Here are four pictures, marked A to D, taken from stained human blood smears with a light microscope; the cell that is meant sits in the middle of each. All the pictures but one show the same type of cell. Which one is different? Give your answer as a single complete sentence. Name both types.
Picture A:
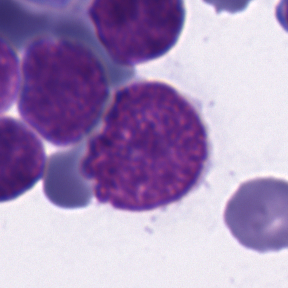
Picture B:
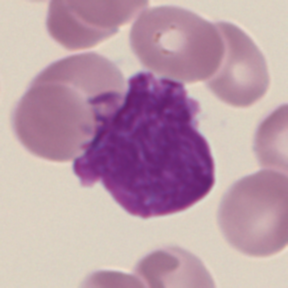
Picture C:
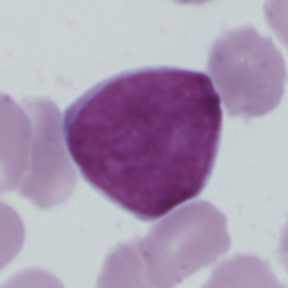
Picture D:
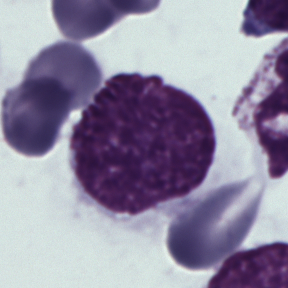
All pictures except B show myeloblasts; picture B shows a smudge cell.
